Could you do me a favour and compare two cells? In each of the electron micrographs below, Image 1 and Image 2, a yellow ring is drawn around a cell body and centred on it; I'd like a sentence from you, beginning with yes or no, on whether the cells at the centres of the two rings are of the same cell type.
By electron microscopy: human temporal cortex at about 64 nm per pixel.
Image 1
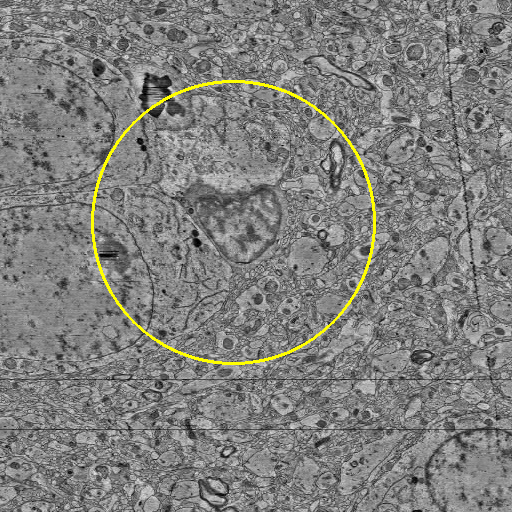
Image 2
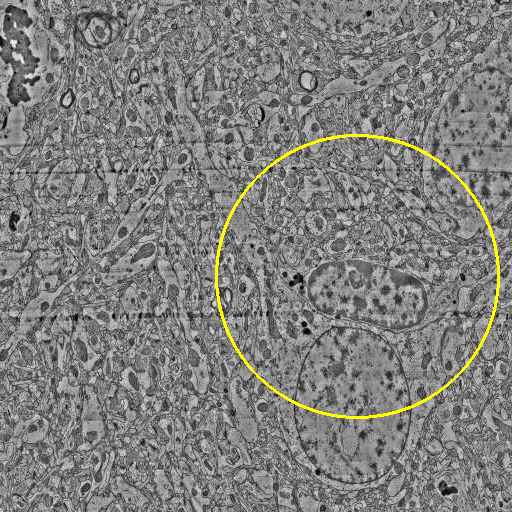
No, the two cells are of two cell types.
